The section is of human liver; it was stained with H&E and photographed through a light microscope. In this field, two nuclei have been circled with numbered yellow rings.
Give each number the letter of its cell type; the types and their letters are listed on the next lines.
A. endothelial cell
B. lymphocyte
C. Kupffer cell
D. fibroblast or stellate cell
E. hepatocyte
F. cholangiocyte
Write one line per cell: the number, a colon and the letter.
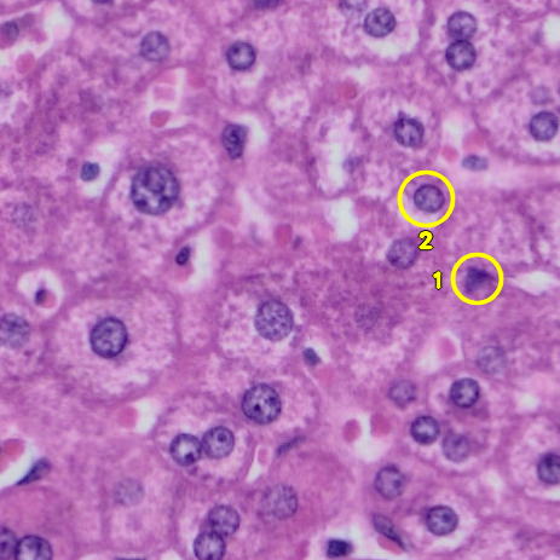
1: D
2: E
